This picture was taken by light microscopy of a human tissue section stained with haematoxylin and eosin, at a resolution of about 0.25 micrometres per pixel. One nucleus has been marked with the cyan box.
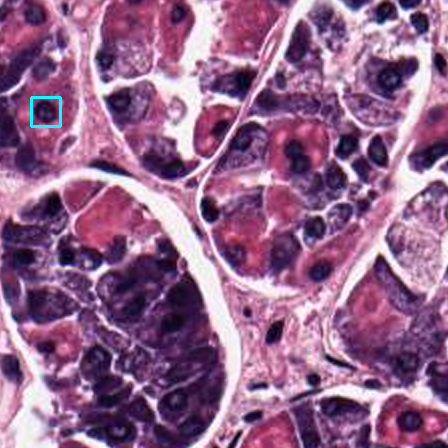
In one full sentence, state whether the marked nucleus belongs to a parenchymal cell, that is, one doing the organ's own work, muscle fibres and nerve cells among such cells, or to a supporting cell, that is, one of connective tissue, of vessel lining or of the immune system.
The marked nucleus is found in a parenchymal cell, namely a parietal cell.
